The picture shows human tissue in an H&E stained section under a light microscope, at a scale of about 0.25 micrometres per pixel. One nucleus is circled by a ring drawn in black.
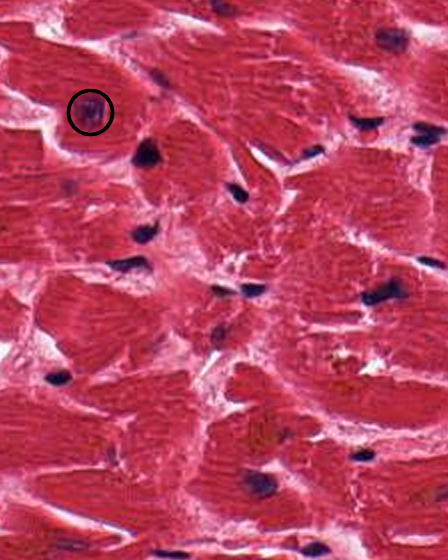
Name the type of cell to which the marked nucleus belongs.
cardiomyocyte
